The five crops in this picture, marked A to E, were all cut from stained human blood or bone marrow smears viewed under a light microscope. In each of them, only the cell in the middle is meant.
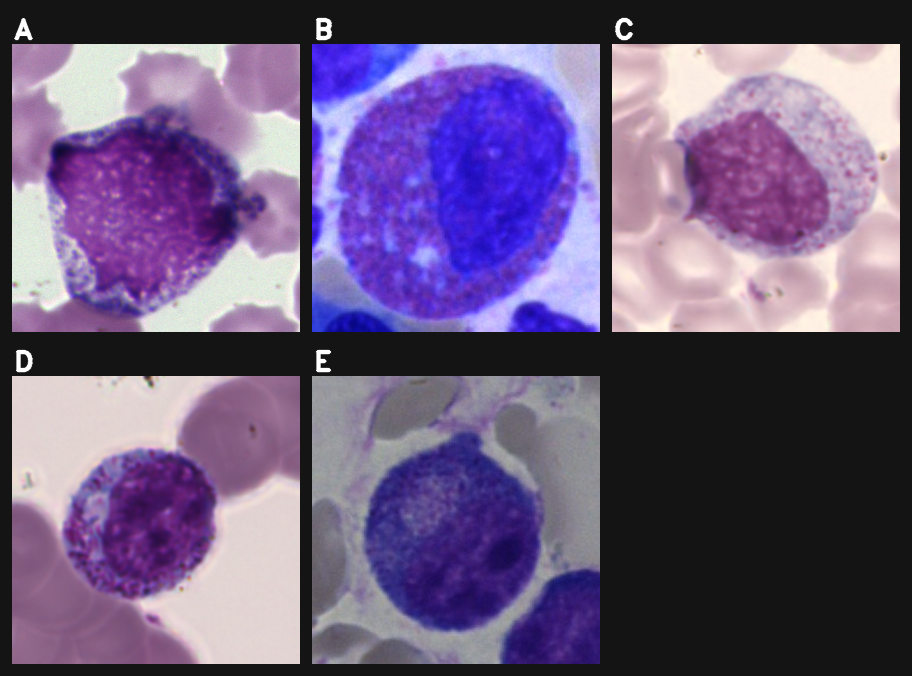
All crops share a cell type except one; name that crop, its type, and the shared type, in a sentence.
All of the other crops show promyelocytes, while crop B shows an eosinophil instead.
